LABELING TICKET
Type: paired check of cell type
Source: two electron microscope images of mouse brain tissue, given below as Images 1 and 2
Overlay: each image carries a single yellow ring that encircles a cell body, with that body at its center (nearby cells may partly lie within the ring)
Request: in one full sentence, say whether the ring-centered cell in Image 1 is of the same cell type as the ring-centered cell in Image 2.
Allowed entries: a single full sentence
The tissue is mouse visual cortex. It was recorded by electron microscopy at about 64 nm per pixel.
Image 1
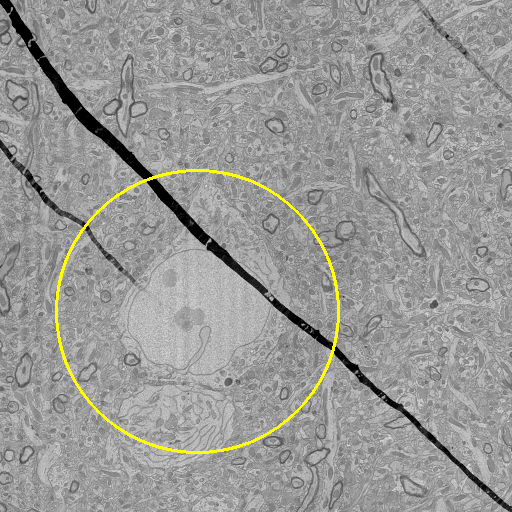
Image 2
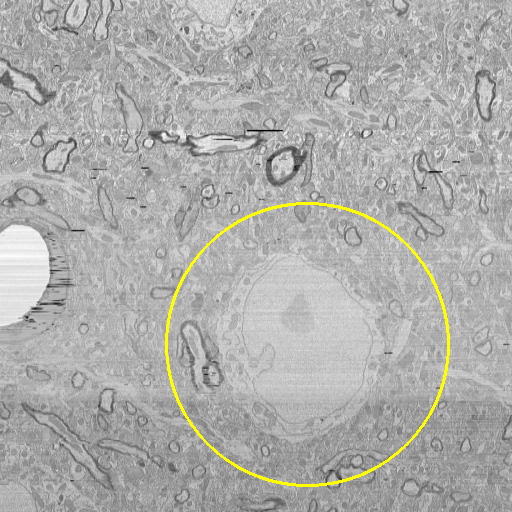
Yes, the cells centered in the rings of Image 1 and Image 2 share one type.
